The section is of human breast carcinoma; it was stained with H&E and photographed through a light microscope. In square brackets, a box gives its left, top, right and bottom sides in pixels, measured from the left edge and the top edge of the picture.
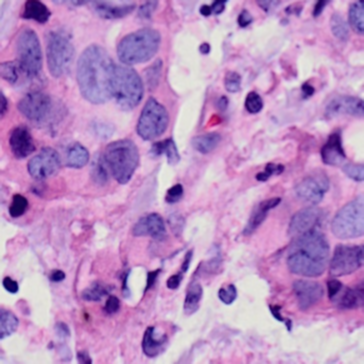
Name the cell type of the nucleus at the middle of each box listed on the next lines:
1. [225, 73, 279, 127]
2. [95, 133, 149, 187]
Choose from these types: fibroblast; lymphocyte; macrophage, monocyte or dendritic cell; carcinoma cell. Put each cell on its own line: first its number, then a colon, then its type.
1: lymphocyte
2: carcinoma cell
